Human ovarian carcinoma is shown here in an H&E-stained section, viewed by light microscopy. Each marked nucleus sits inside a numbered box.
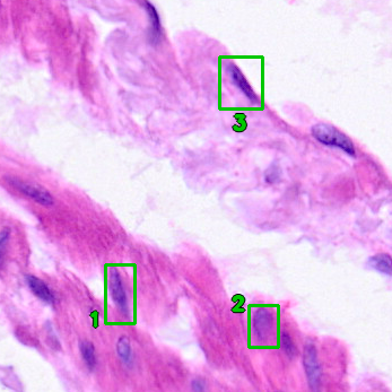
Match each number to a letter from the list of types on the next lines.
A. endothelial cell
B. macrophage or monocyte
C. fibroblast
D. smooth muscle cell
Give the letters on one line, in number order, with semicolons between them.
D; D; A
